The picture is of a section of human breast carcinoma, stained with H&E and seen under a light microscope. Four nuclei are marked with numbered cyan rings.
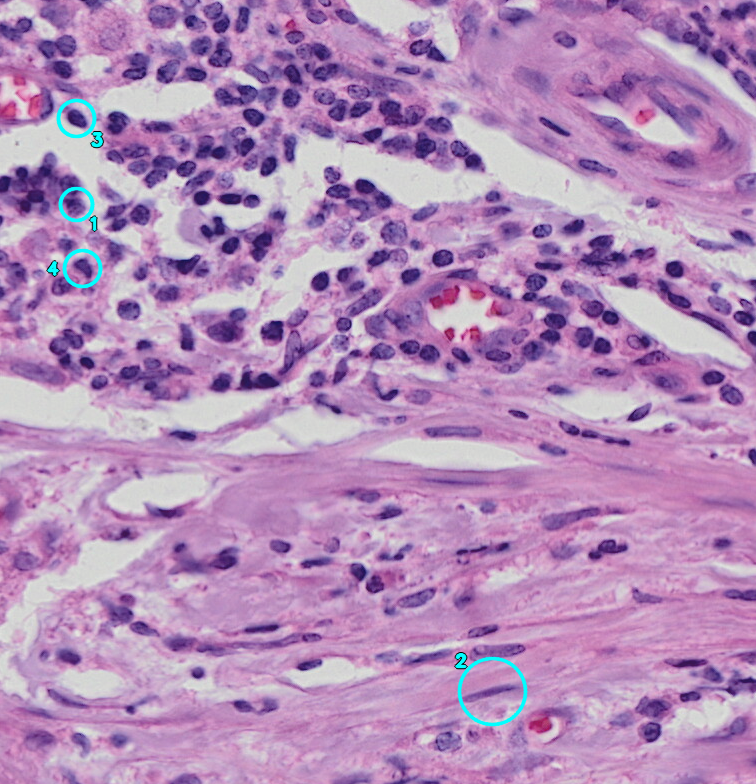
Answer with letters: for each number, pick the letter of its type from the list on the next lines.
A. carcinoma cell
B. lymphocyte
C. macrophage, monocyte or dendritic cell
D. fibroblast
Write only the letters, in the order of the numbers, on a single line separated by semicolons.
B; D; B; B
